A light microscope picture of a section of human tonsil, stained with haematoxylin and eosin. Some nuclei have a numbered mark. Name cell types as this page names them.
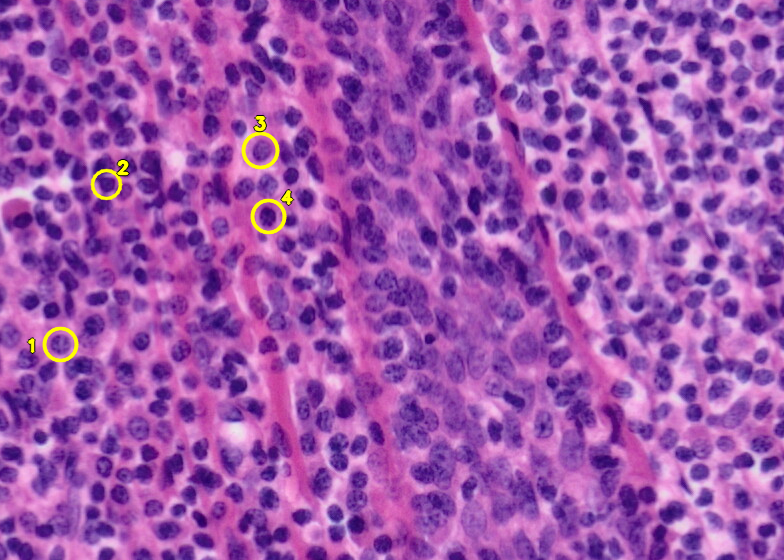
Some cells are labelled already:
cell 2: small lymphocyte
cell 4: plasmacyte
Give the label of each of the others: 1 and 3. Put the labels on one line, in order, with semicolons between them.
plasmacyte; plasmacyte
